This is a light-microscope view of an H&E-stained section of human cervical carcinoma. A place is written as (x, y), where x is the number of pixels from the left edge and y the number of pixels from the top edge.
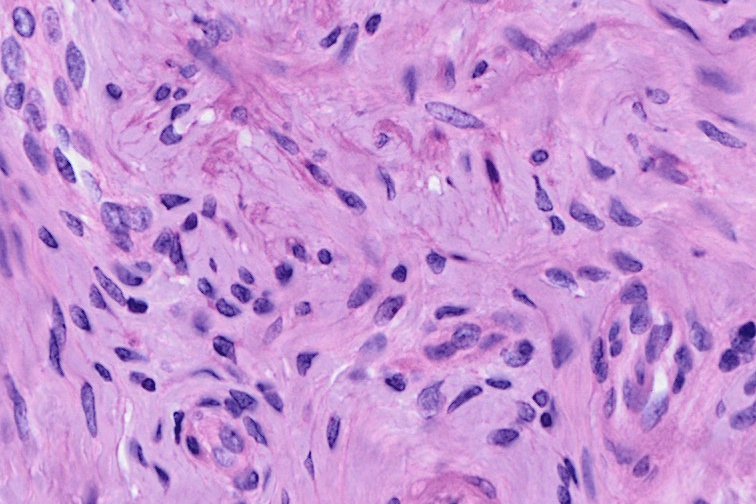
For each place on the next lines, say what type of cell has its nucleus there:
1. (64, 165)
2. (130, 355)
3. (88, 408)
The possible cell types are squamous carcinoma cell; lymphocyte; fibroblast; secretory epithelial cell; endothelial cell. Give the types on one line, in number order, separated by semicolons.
endothelial cell; fibroblast; fibroblast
